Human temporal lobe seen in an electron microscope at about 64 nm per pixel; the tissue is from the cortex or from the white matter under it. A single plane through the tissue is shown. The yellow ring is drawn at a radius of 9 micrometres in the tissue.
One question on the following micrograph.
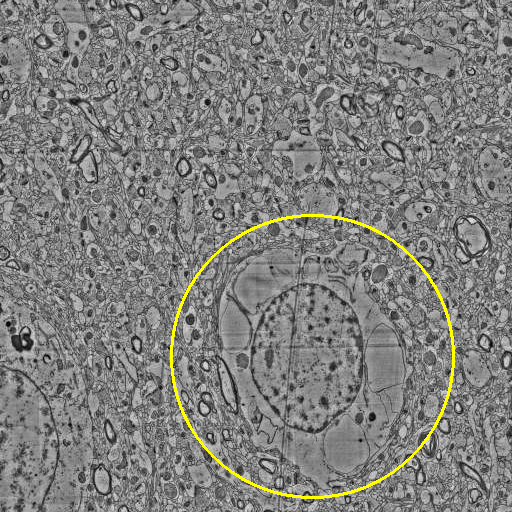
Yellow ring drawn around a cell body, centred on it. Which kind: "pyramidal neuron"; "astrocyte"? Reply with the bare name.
astrocyte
